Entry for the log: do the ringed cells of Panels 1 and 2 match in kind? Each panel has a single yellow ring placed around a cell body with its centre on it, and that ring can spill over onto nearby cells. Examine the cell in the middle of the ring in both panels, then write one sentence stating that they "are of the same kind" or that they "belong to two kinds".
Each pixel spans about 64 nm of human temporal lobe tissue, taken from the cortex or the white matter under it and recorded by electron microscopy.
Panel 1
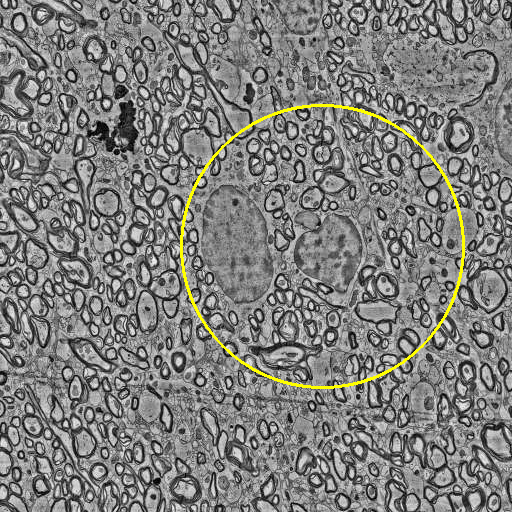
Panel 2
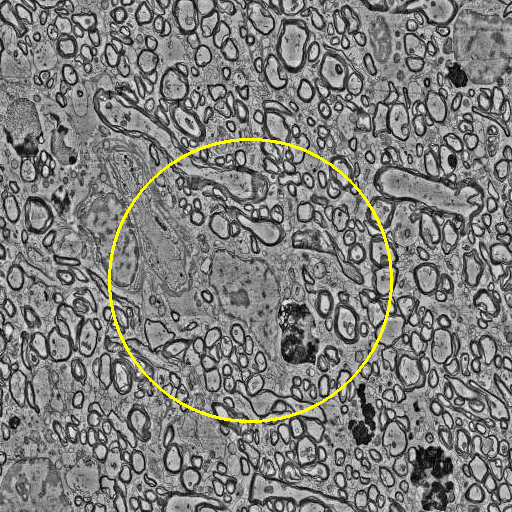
The centre cell of Panel 1's ring and that of Panel 2's ring belong to two kinds.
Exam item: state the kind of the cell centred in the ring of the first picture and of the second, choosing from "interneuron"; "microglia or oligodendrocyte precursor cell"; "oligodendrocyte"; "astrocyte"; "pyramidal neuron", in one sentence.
The first picture shows a microglial cell or oligodendrocyte precursor cell at the ring centre and the second shows an astrocyte.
